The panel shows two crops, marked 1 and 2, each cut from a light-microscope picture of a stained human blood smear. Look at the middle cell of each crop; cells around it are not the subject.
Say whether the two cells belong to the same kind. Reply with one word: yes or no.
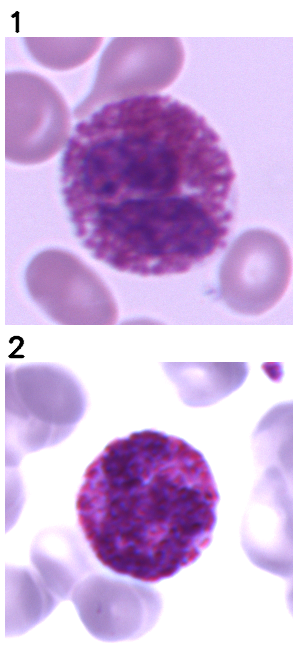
no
